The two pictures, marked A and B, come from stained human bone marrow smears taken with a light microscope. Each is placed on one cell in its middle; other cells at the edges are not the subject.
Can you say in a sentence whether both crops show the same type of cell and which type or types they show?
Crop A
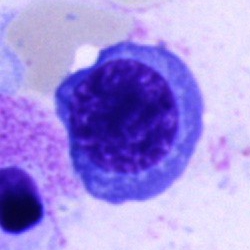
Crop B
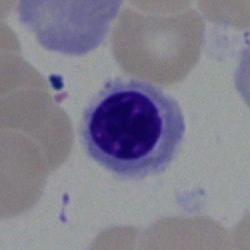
Yes, both crops do show erythroblasts in the middle.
